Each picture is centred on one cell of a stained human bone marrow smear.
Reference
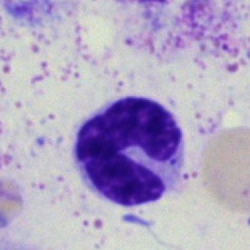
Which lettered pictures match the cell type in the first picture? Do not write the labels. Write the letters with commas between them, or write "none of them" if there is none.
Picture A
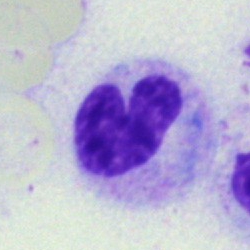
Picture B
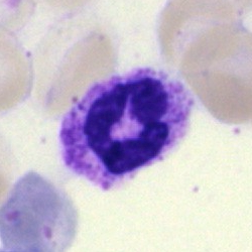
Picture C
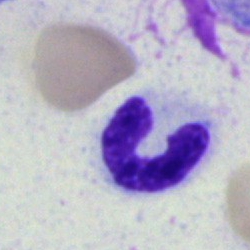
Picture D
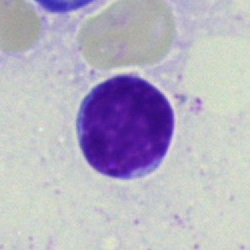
A, C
